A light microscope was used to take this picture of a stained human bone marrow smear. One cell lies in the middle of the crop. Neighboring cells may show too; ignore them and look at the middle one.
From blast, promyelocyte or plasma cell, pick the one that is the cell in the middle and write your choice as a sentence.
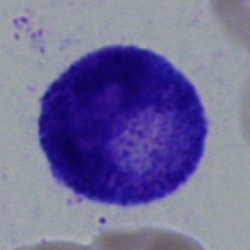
The identification for the central cell is a promyelocyte.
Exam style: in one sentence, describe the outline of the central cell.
The outline of this cell is not smooth but ragged or drawn out into projections.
